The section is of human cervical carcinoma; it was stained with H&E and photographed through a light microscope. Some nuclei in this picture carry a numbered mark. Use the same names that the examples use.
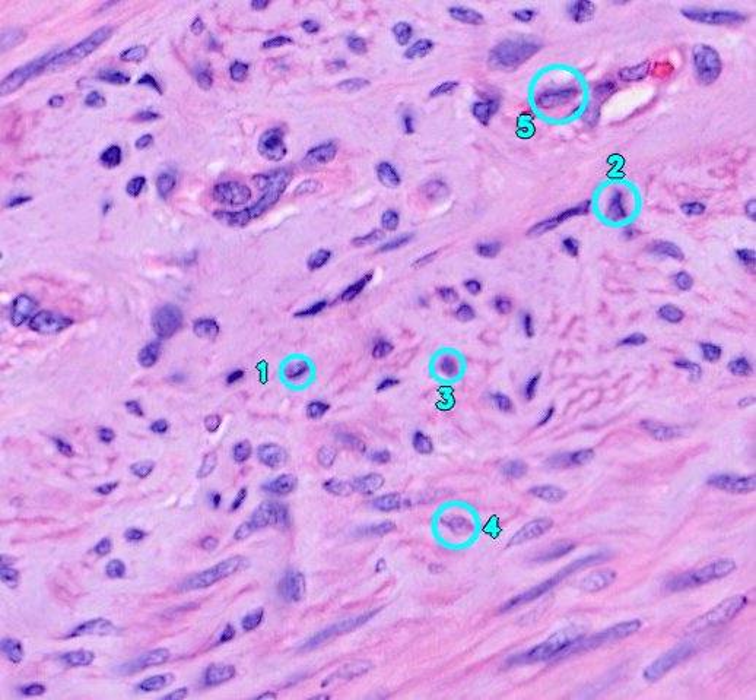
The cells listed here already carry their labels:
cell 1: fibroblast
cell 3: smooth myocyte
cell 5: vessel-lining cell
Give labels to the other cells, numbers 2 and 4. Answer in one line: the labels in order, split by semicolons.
fibroblast; smooth myocyte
